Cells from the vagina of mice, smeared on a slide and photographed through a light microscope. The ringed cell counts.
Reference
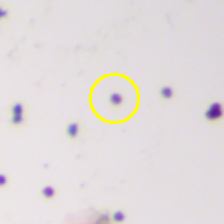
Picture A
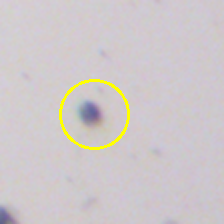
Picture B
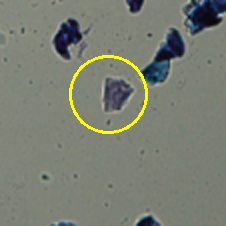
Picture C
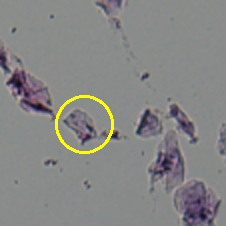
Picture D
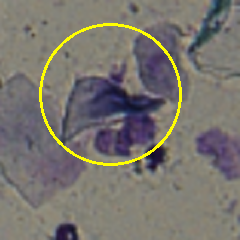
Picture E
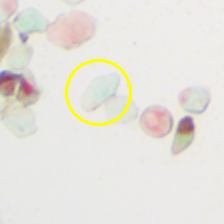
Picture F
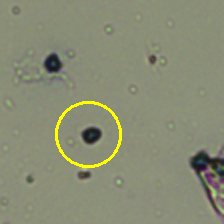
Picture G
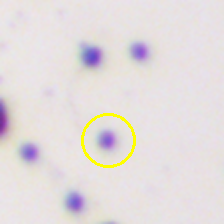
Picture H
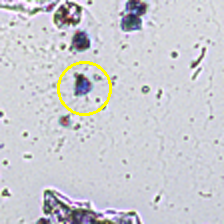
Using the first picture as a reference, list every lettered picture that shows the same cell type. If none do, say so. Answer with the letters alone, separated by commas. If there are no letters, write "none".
A, F, G, H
